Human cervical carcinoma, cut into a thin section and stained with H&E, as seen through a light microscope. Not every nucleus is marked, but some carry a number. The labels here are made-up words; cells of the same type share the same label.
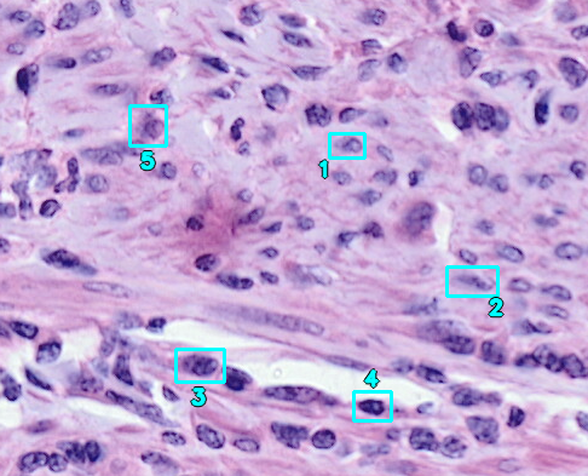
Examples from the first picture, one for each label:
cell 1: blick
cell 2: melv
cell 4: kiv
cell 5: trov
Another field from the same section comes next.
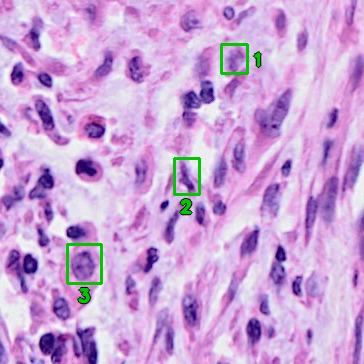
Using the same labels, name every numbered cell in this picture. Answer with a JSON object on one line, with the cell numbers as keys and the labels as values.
{"1": "melv", "2": "melv", "3": "trov"}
